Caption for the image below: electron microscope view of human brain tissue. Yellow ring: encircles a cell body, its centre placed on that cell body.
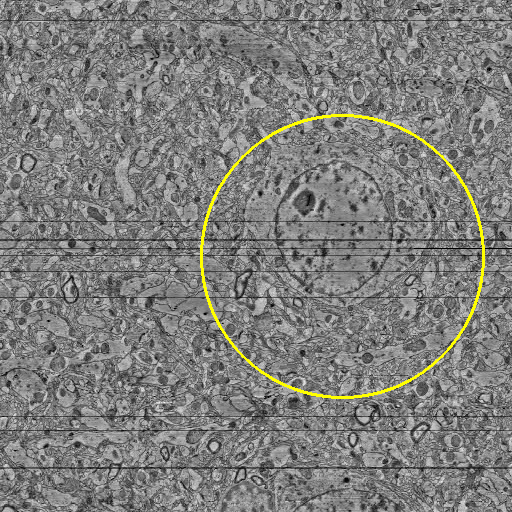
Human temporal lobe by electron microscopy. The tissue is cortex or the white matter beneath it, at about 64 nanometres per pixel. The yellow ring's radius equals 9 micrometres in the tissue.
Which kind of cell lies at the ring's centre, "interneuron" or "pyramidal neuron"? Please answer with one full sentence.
The picture shows a pyramidal neuron at the centre of the yellow ring.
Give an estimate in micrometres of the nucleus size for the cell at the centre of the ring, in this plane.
Roughly 9 by 8 micrometres is the size of the nucleus in this plane.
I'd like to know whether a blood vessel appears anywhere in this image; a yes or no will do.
No, there is no blood vessel in the image.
